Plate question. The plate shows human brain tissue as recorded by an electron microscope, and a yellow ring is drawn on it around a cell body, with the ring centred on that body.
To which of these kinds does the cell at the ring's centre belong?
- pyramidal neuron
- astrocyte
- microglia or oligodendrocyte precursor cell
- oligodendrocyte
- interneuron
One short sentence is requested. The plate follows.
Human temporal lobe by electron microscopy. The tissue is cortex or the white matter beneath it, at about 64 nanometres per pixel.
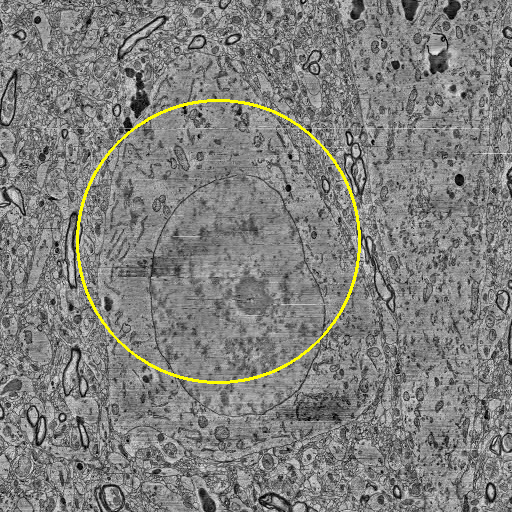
The cell at the ring's centre is a pyramidal neuron.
